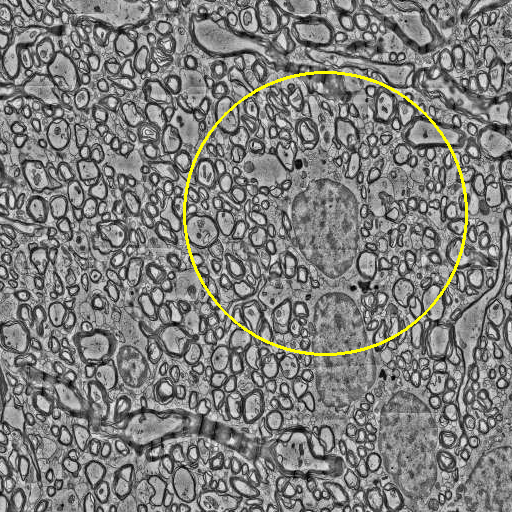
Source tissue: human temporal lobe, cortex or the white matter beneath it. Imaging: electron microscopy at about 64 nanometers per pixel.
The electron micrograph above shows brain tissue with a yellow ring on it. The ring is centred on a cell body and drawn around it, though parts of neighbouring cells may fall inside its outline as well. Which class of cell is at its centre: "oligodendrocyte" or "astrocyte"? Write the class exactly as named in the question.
oligodendrocyte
